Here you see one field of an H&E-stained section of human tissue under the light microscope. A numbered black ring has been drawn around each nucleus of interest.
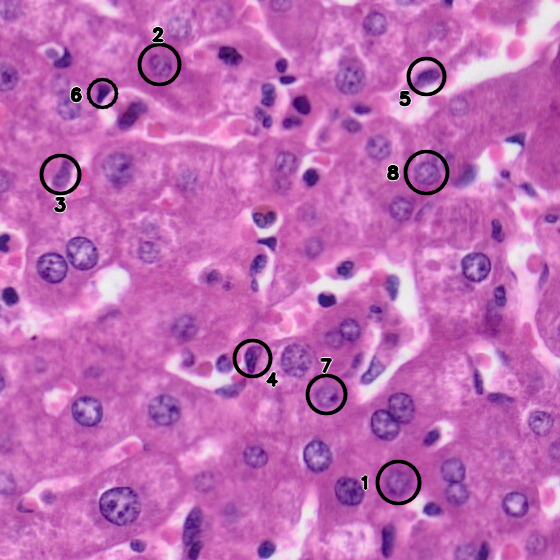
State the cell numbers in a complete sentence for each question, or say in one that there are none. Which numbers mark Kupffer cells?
The cells numbered 3 and 5 are, by type, Kupffer cells.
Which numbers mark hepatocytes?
The cells numbered 1, 2, 7 and 8 are typed as hepatocytes.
